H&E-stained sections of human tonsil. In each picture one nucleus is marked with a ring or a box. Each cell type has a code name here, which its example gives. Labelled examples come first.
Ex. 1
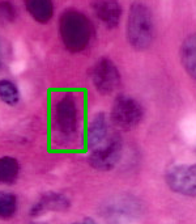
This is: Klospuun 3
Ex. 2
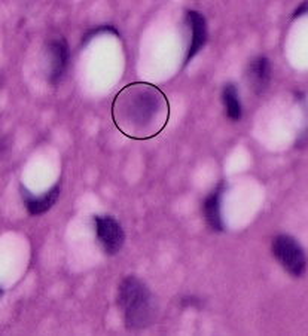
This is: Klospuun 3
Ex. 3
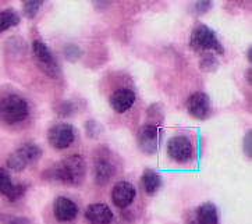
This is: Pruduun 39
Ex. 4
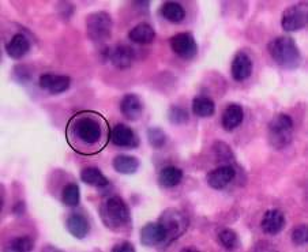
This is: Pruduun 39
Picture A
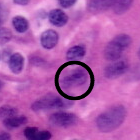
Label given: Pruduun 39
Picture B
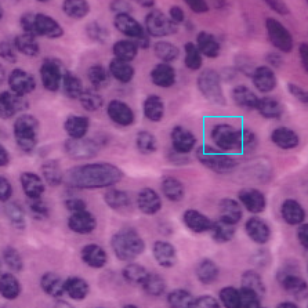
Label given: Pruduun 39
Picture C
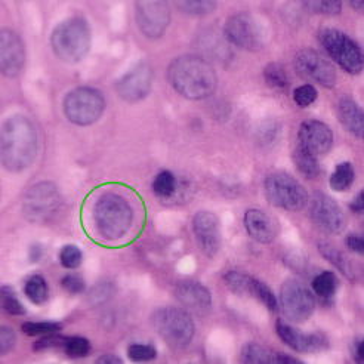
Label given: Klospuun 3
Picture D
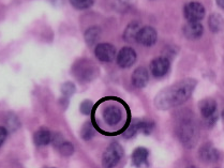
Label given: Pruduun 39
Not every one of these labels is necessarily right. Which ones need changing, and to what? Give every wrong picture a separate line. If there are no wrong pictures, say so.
Wrong: A (Pruduun 39); correct: Klospuun 3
